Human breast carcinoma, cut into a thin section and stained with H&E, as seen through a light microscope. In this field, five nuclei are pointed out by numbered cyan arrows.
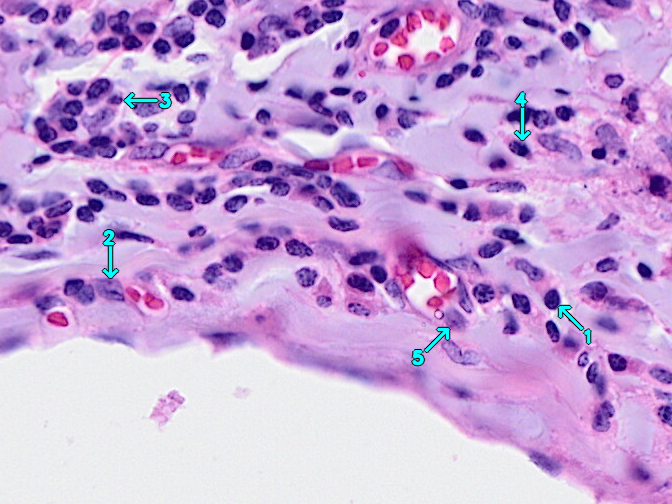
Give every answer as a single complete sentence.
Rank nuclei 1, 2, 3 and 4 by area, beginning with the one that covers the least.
Smallest first, the nuclei run 3, 4, 1, 2.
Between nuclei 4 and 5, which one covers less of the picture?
The smaller nucleus is 4, and 5 covers roughly 1.5 times its area.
